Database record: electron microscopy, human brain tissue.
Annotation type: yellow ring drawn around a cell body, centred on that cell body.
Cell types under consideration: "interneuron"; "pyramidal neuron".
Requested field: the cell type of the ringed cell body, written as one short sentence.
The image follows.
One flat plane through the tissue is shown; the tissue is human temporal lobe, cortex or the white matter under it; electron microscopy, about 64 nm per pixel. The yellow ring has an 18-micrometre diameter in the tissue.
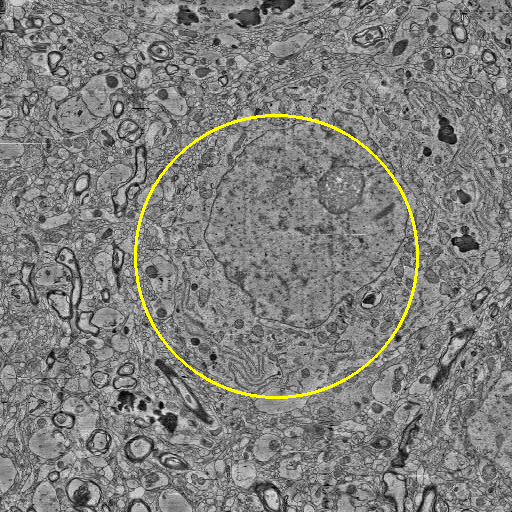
The ringed cell body represents an interneuron.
